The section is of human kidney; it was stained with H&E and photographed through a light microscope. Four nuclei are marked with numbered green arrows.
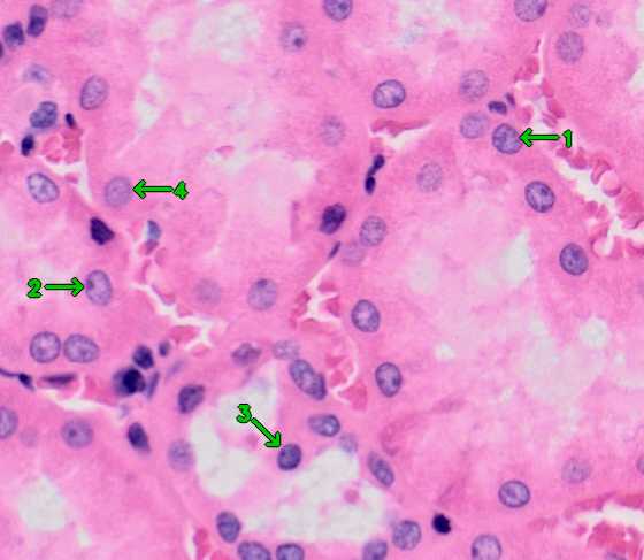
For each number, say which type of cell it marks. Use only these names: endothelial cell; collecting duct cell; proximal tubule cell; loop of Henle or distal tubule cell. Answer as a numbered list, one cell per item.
1. proximal tubule cell
2. proximal tubule cell
3. loop of Henle or distal tubule cell
4. proximal tubule cell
